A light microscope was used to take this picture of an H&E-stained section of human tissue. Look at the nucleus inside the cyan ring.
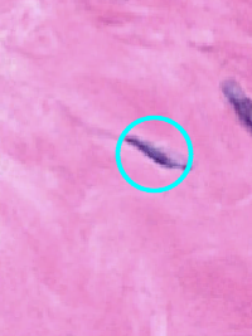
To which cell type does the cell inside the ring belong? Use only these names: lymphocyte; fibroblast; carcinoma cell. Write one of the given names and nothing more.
fibroblast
